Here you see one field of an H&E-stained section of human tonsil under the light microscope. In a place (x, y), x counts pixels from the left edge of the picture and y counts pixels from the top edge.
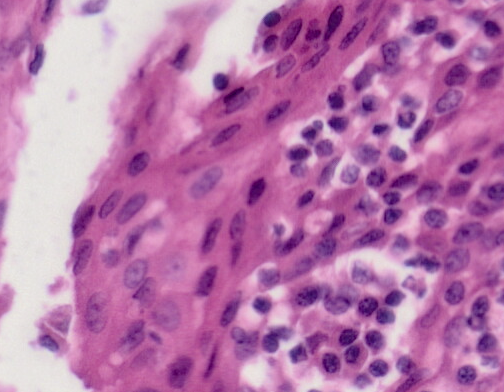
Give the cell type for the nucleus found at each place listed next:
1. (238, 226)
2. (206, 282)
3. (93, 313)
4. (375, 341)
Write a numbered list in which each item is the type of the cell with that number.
1. squamous epithelial cell
2. squamous epithelial cell
3. squamous epithelial cell
4. plasma cell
